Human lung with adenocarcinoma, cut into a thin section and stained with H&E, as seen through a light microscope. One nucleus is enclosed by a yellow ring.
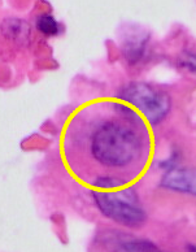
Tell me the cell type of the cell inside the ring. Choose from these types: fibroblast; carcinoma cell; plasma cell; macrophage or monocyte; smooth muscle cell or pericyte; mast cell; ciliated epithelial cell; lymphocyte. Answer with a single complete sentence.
Cell type answer for this item: the cell inside the ring is a carcinoma cell.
